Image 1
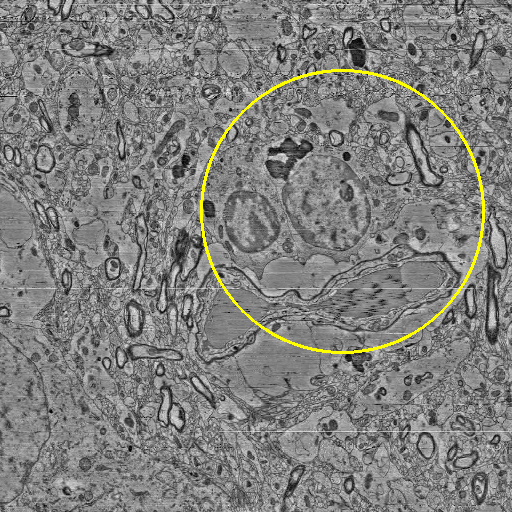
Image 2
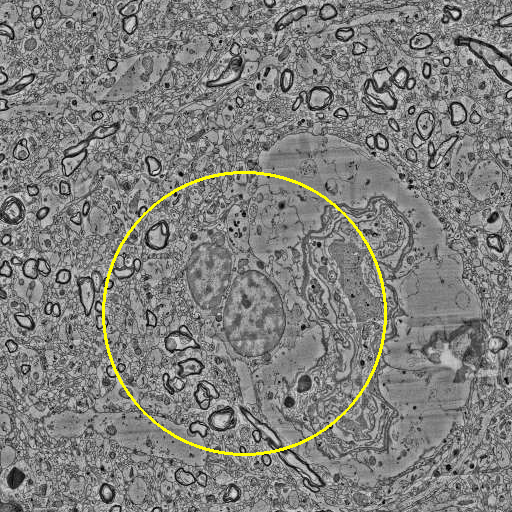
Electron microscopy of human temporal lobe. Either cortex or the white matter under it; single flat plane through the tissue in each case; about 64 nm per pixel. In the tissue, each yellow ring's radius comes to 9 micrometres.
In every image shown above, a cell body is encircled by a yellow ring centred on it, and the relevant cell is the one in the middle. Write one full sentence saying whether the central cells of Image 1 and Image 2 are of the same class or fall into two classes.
The cell at the ring's centre in Image 1 and its counterpart in Image 2 are of the same class.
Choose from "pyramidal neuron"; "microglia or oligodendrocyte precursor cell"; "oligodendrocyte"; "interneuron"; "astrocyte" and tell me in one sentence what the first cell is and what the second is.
The ring centre holds an oligodendrocyte in each of the two pictures.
